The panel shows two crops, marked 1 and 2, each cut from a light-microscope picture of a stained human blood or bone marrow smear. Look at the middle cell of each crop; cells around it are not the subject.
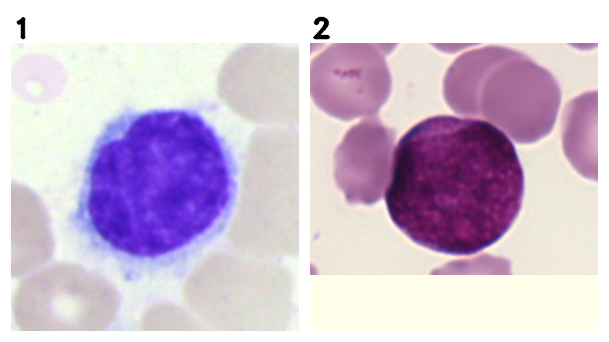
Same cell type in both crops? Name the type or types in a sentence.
No, crop 1 matches a hairy cell and crop 2 matches a blast.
